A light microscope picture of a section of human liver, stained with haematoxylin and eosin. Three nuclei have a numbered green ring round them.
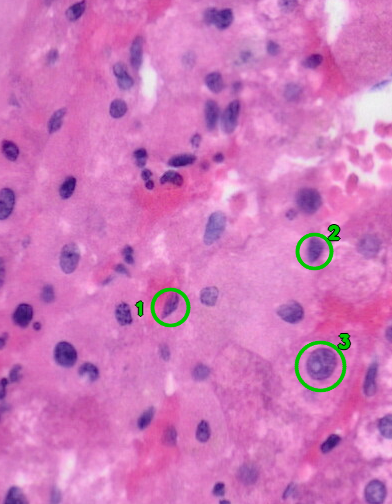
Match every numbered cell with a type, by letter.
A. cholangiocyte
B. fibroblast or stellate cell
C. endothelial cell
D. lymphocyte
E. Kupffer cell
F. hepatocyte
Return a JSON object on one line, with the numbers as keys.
{"1": "C", "2": "B", "3": "F"}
